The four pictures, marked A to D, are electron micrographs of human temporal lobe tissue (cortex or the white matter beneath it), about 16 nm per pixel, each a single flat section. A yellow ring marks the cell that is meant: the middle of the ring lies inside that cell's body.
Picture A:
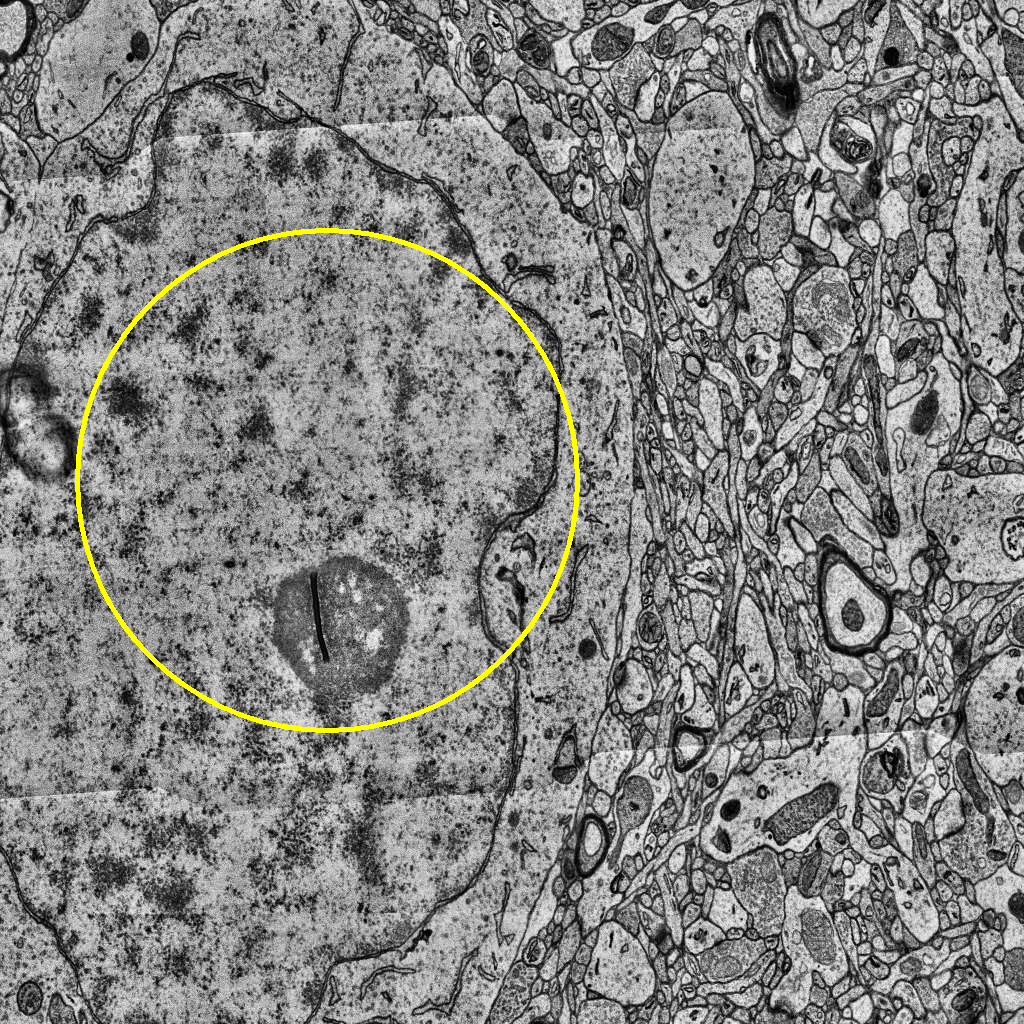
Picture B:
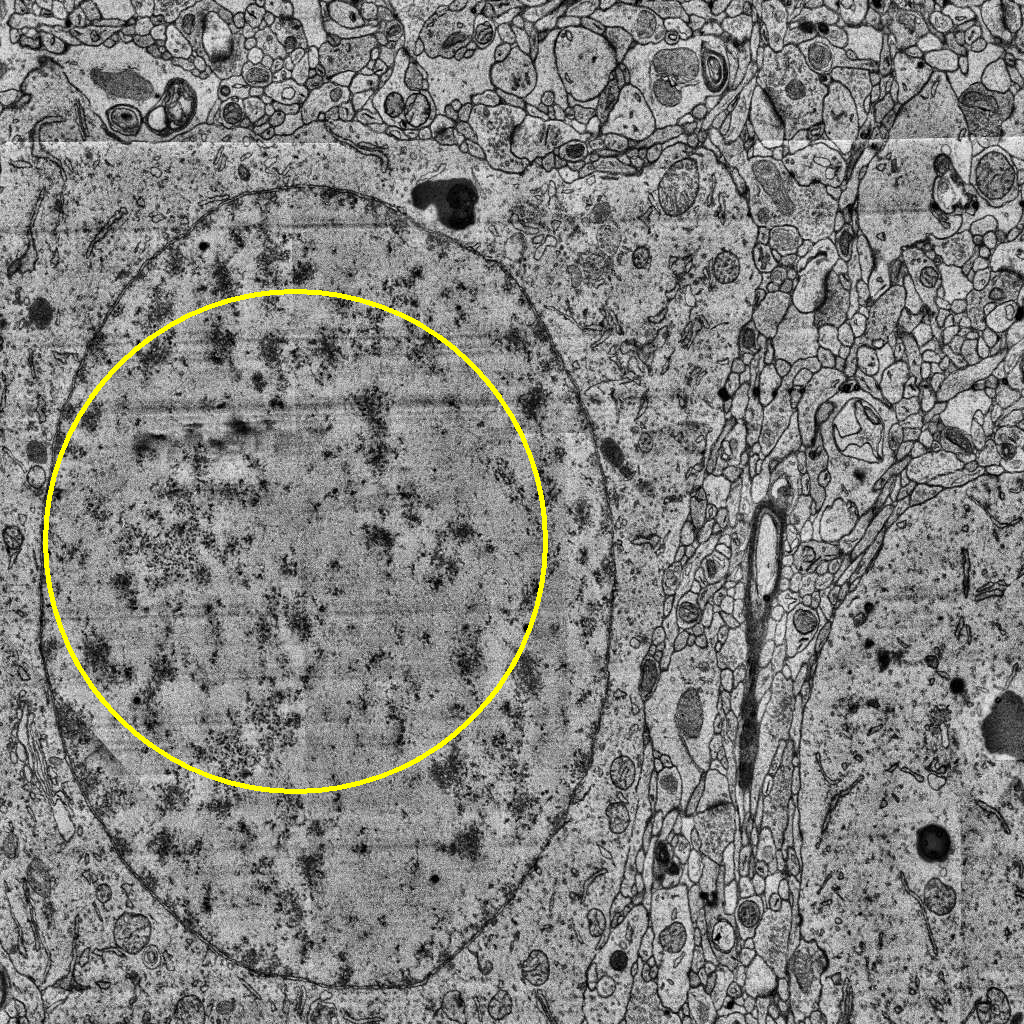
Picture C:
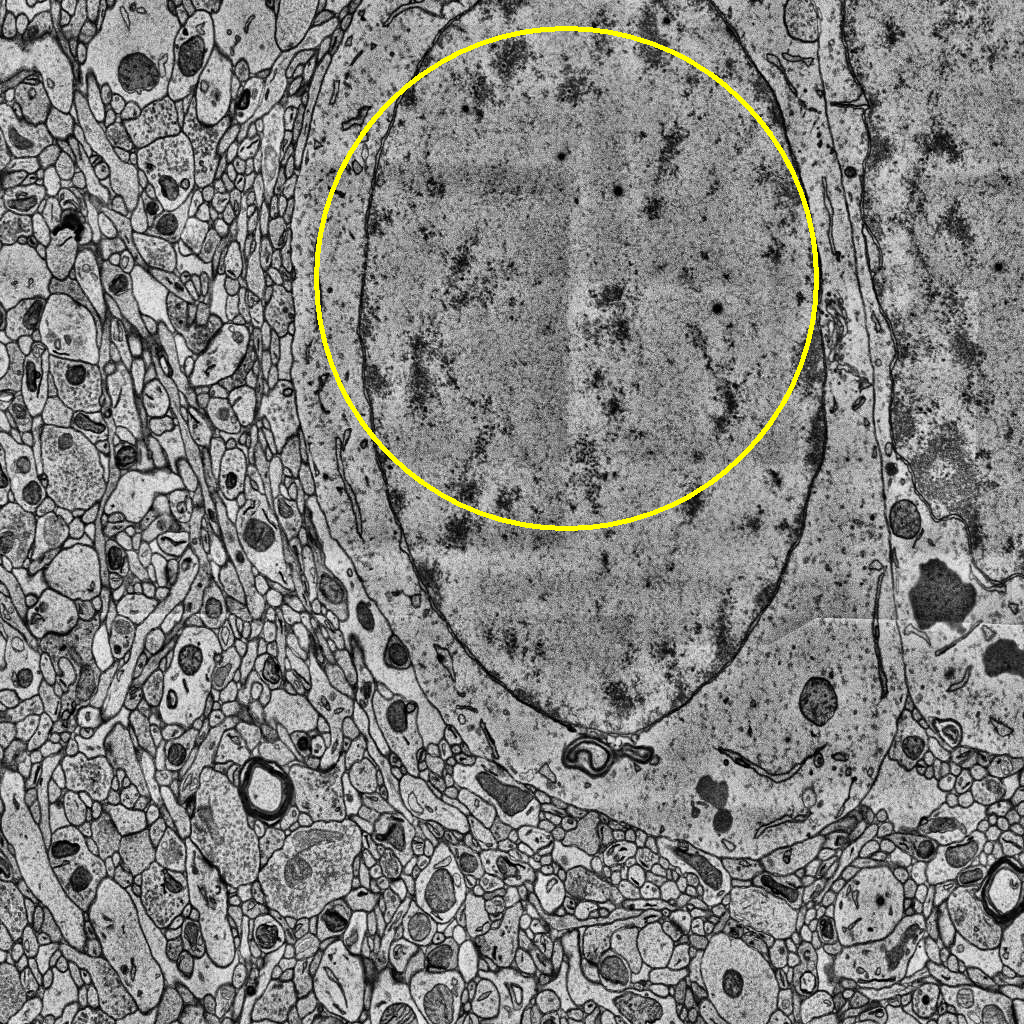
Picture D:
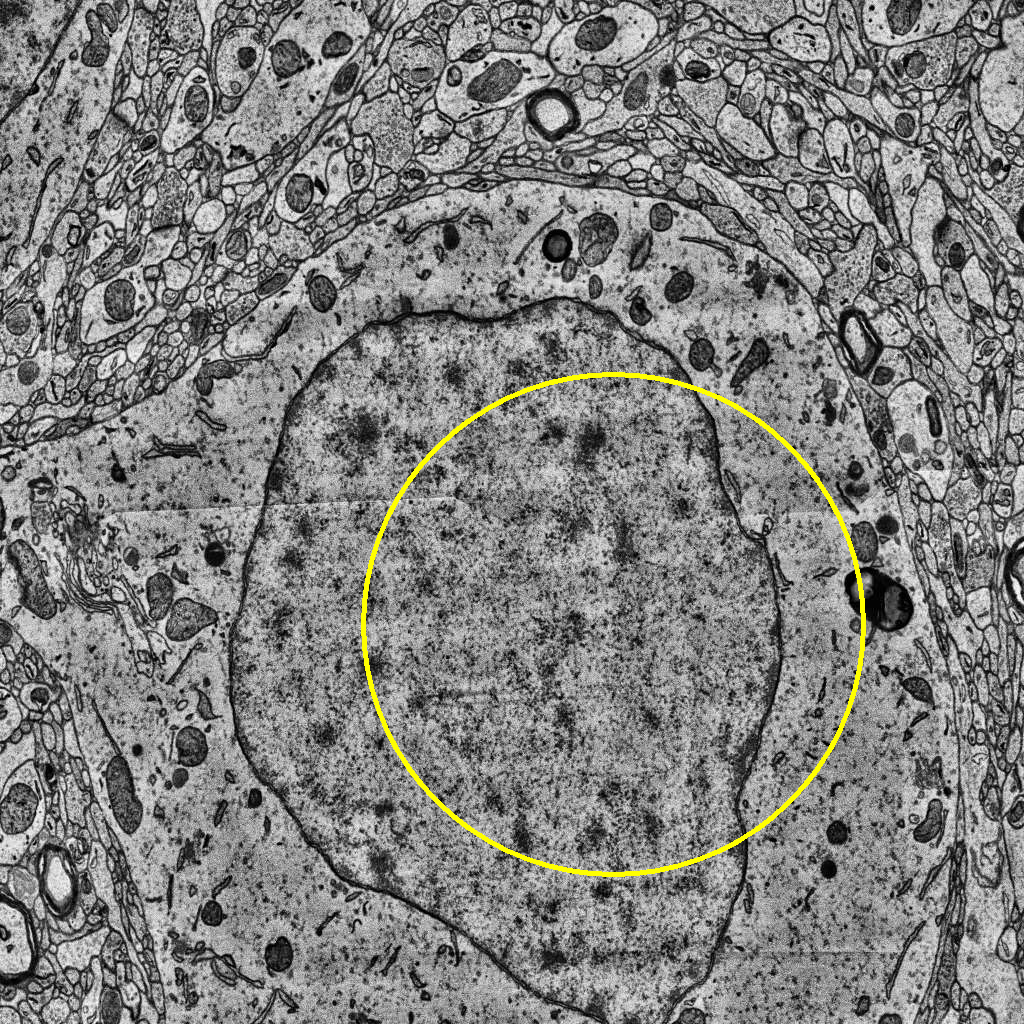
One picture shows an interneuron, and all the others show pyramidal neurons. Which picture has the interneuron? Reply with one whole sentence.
It is picture A that shows the interneuron.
